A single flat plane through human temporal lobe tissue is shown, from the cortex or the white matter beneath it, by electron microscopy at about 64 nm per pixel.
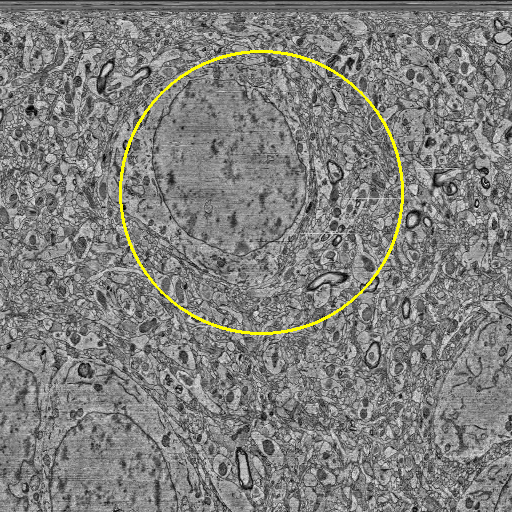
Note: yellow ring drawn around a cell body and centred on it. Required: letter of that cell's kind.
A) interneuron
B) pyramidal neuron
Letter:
B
